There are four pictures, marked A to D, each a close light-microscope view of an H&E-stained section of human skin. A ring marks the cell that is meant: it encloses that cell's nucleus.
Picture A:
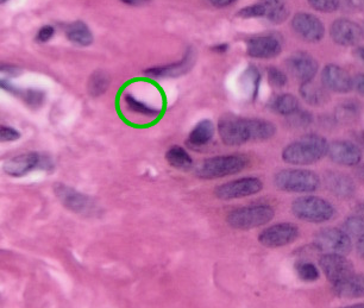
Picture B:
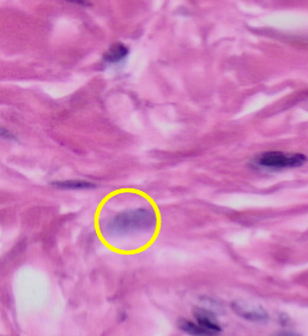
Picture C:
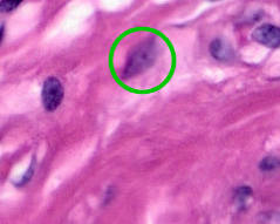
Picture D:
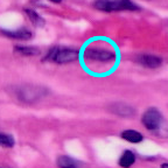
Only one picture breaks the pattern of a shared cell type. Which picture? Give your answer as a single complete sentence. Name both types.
All pictures except D show fibroblasts; picture D shows an endothelial cell.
